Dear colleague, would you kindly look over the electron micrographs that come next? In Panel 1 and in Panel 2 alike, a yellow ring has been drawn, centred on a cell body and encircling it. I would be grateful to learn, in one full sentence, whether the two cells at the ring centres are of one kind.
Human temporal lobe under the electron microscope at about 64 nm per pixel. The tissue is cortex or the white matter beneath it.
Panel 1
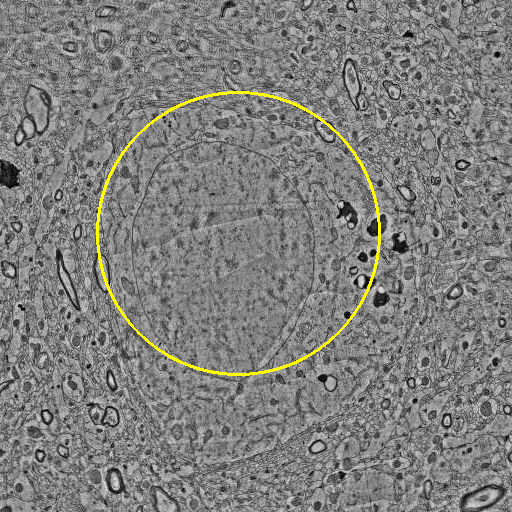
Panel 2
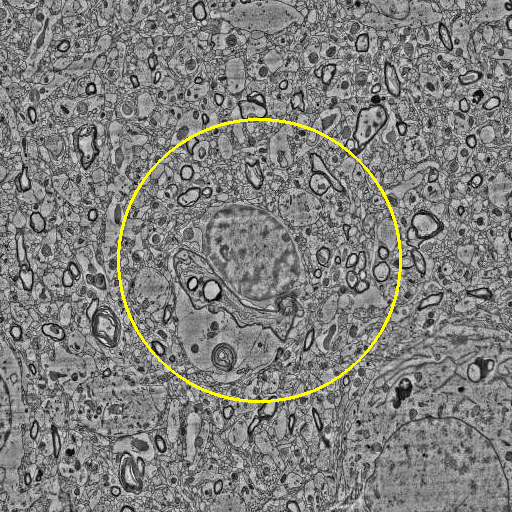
No, the cells in the middle of the rings in the two panels are of two kinds.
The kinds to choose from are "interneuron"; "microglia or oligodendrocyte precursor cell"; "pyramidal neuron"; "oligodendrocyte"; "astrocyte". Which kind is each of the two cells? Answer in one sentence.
Of the two, the first cell is a pyramidal neuron and the second cell is an oligodendrocyte.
